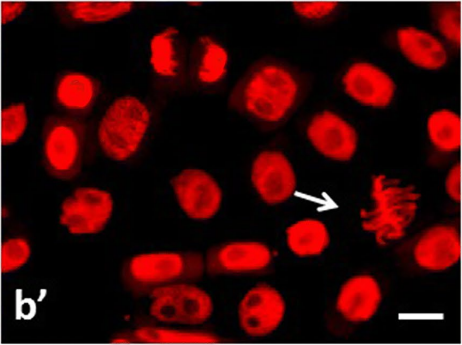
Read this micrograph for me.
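A few cells are in division: one has rod-shaped condensed chromosomes gathered in a band across the cell, as at metaphase, and another shows two groups of chromosomes lying side by side. Some interphase nuclei show a finely granular chromatin texture.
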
